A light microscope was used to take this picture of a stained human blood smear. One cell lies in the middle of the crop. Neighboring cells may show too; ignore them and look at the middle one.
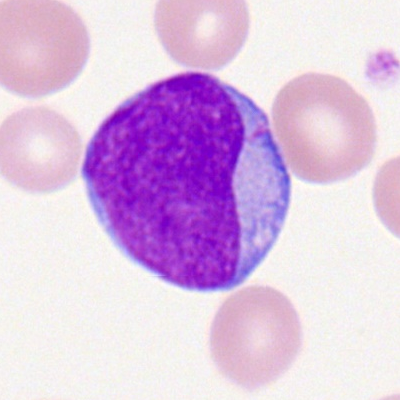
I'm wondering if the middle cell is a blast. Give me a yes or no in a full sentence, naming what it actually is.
Yes, a blast is what the central cell is.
